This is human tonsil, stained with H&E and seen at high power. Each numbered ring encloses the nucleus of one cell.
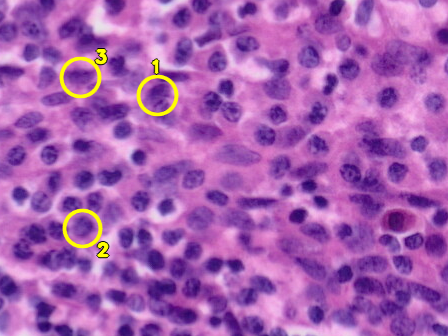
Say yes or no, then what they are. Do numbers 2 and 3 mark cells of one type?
No, cell 2 is a plasma cell, and cell 3 is a squamous epithelial cell.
